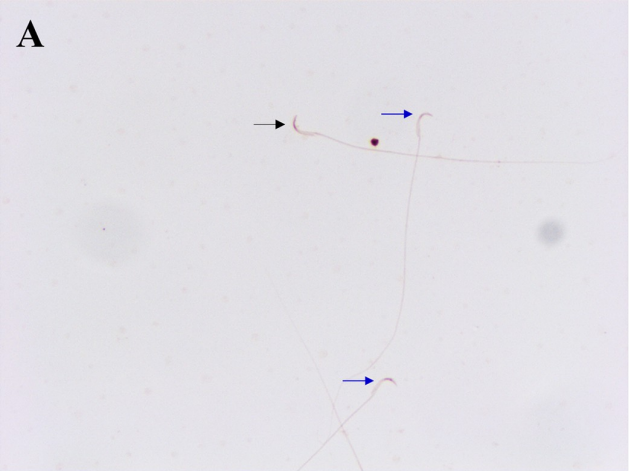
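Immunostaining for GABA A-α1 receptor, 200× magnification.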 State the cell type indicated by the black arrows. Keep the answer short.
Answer: Sperm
